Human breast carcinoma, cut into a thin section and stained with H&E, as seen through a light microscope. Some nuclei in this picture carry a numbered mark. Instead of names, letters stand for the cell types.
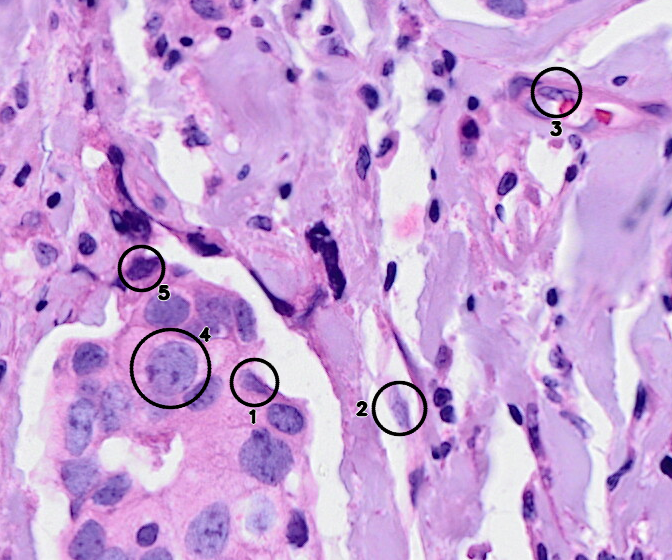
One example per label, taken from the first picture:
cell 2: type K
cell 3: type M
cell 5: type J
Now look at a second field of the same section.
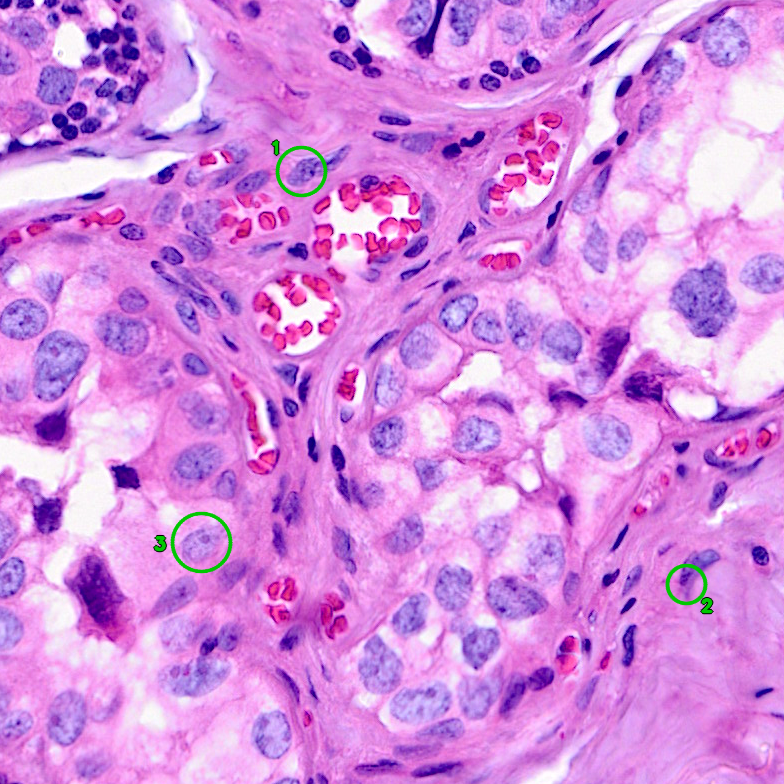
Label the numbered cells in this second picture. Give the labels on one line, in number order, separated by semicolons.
type K; type K; type J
